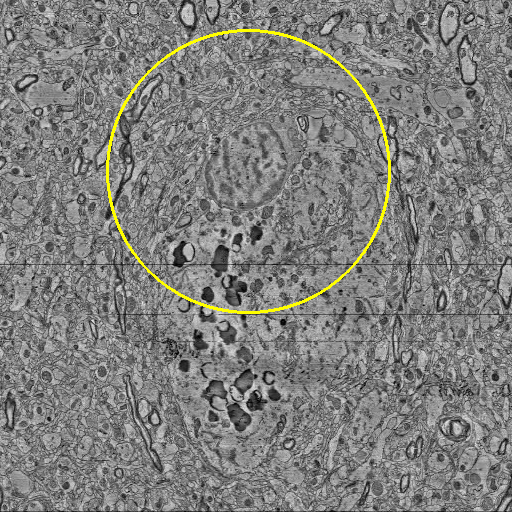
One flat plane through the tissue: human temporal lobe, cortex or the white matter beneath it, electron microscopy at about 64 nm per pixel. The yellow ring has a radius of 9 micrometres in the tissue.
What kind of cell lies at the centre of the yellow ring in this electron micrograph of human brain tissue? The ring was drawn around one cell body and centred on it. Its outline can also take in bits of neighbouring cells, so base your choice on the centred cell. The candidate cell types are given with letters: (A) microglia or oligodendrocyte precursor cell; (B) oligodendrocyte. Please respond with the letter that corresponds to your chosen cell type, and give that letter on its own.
B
